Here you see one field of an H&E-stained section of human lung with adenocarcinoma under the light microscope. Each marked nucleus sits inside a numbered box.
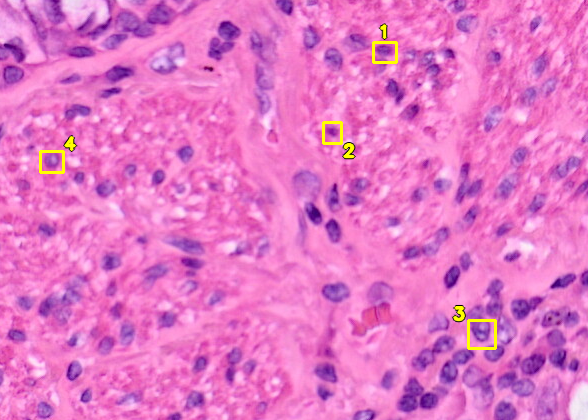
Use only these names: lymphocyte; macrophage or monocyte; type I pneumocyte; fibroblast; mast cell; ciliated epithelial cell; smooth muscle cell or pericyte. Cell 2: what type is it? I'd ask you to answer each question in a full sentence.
The cell pointed out as number 2 is a smooth muscle cell or pericyte.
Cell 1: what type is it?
The cell pointed out by number 1 is a smooth muscle cell or pericyte.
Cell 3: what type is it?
Cell 3 in the field of view is a lymphocyte.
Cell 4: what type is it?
The cell numbered 4 represents a smooth muscle cell or pericyte.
